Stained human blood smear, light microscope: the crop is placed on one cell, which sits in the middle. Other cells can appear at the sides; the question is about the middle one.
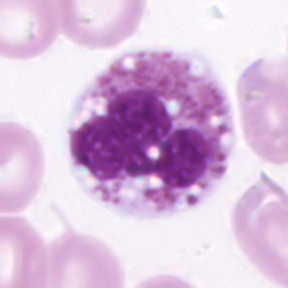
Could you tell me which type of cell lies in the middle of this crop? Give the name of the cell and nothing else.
eosinophil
